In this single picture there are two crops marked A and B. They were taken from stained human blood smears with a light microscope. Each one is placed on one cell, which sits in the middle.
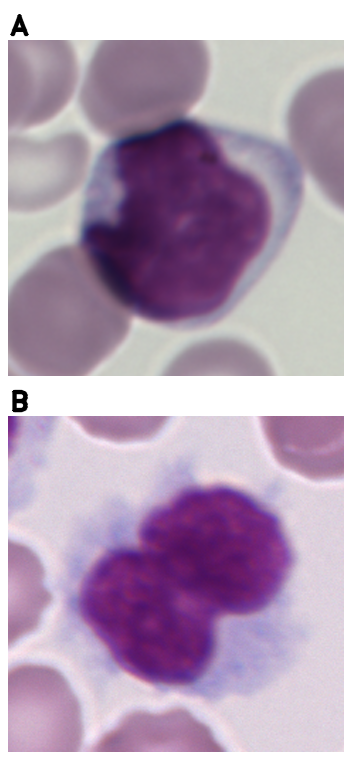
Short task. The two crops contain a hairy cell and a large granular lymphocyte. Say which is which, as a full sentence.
Within crop A sits a large granular lymphocyte, and within crop B sits a hairy cell.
